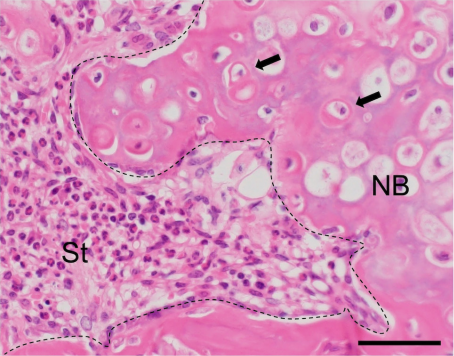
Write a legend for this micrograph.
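Newly formed cartilage-rich tissue lies beside a densely cellular stroma. The right side is a pink matrix holding many large, rounded chondrocytes, each in its own clear lacuna and with a small central nucleus. To the left, separated by a dashed line, the stroma is crowded with small cells that have dark round nuclei. Pink matrix also borders the lower edge of the stroma.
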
